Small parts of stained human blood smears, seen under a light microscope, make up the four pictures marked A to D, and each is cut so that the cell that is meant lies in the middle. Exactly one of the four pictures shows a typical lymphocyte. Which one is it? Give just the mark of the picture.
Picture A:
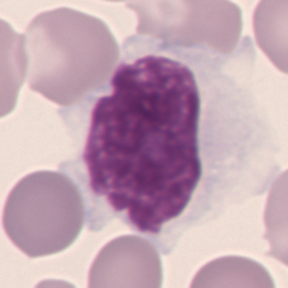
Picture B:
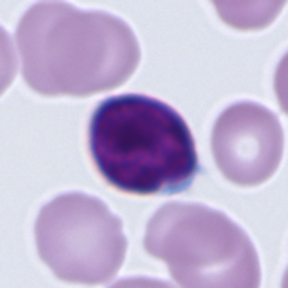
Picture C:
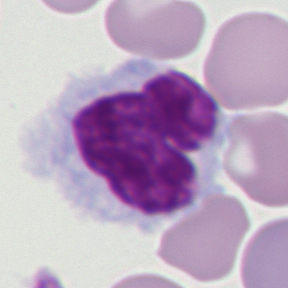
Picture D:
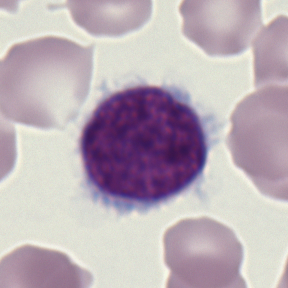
B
